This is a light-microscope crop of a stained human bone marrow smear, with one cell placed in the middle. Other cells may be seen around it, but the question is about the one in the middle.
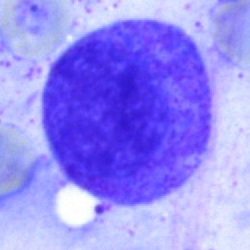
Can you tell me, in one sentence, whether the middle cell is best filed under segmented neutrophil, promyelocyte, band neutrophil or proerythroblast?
This crop is built around a promyelocyte at its centre.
